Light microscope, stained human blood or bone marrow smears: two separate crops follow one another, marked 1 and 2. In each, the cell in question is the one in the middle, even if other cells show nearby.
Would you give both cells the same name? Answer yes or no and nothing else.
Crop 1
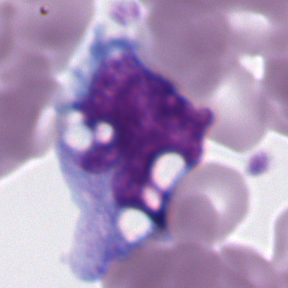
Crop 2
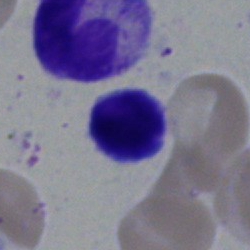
no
